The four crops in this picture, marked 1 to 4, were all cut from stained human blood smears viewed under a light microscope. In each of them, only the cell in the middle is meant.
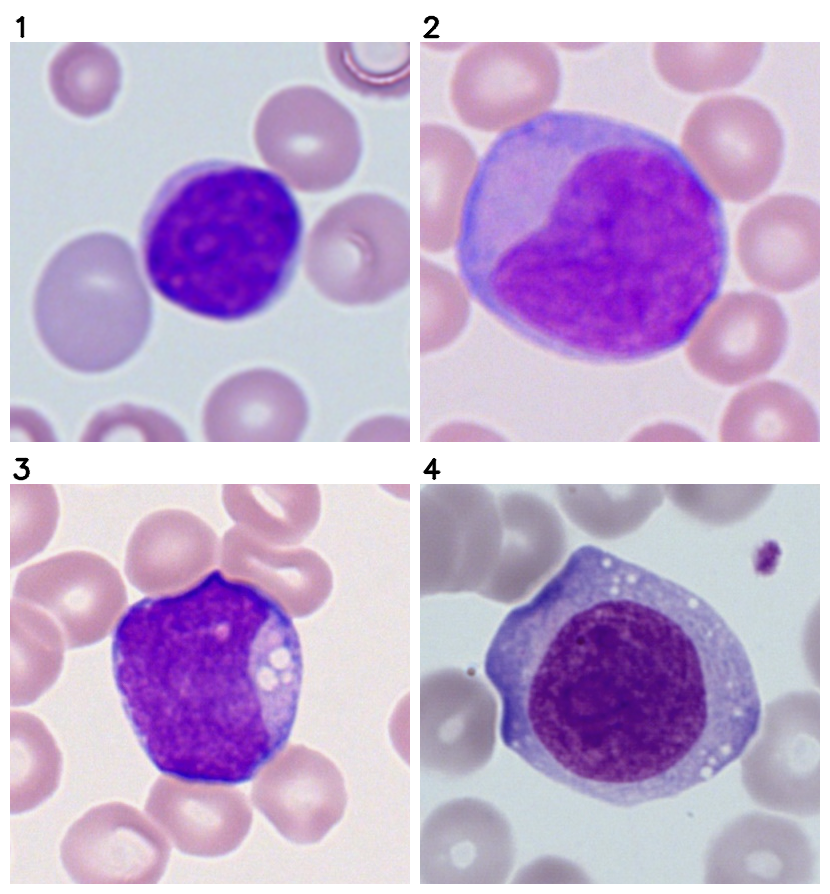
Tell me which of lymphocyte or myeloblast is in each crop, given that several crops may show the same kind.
1: lymphocyte
2: myeloblast
3: myeloblast
4: myeloblast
